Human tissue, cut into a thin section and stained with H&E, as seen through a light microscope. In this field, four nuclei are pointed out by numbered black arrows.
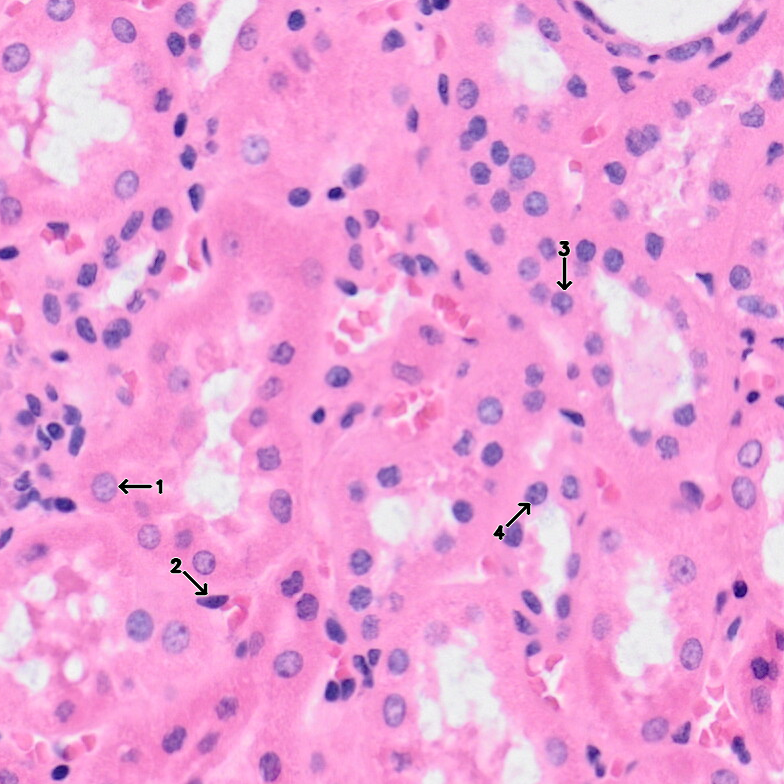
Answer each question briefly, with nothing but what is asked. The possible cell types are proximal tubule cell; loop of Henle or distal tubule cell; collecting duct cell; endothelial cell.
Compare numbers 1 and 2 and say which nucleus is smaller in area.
2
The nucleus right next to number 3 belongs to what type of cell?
loop of Henle or distal tubule cell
